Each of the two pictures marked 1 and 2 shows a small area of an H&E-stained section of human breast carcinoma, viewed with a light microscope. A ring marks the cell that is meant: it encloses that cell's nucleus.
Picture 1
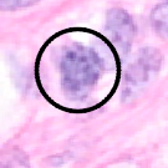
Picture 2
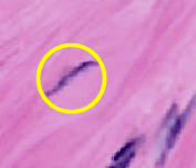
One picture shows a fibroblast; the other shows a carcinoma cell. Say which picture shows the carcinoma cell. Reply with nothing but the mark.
1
